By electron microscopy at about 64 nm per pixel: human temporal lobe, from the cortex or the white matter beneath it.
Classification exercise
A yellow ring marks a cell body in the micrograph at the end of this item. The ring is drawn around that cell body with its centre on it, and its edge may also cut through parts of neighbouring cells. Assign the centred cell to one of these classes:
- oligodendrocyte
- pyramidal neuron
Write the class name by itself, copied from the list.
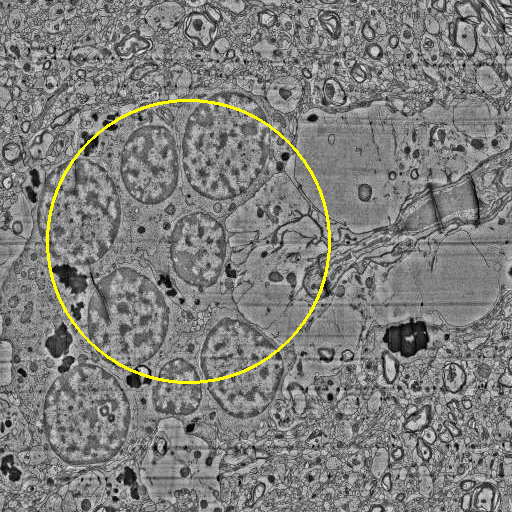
oligodendrocyte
